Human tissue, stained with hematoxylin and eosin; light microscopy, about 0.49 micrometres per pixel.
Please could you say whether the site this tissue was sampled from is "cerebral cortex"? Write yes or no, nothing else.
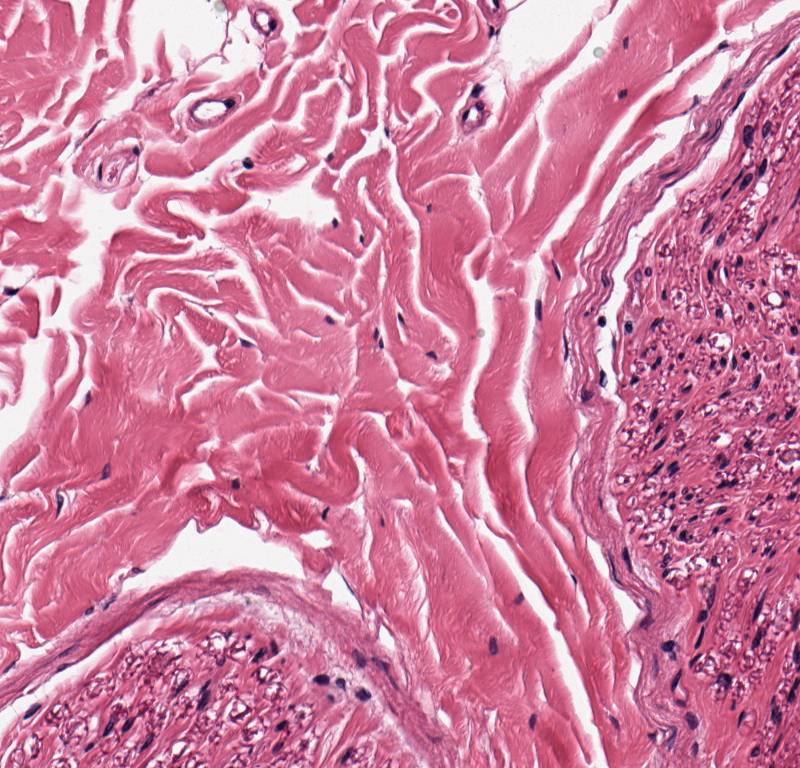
no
